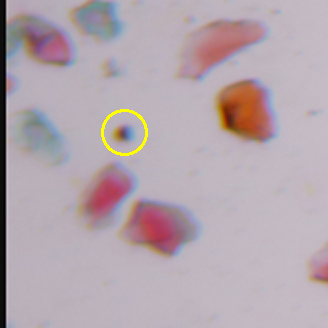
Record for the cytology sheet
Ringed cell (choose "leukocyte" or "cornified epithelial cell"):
leukocyte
